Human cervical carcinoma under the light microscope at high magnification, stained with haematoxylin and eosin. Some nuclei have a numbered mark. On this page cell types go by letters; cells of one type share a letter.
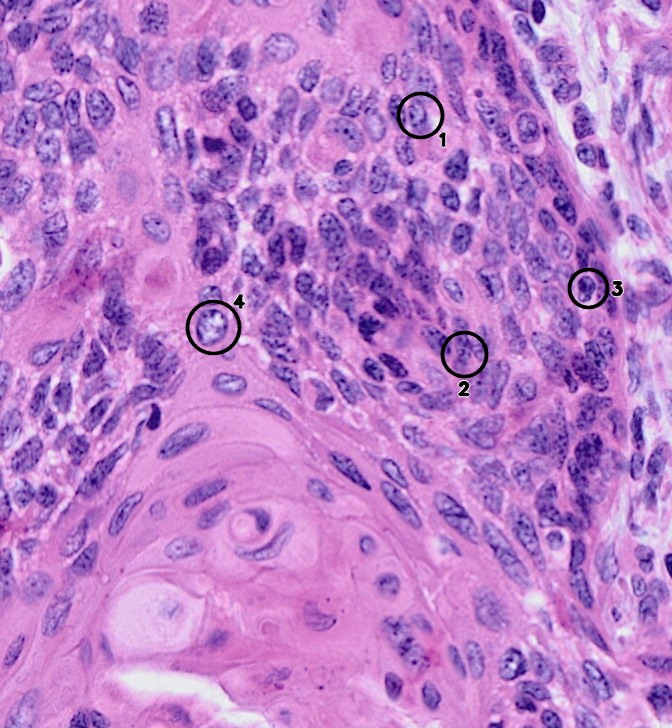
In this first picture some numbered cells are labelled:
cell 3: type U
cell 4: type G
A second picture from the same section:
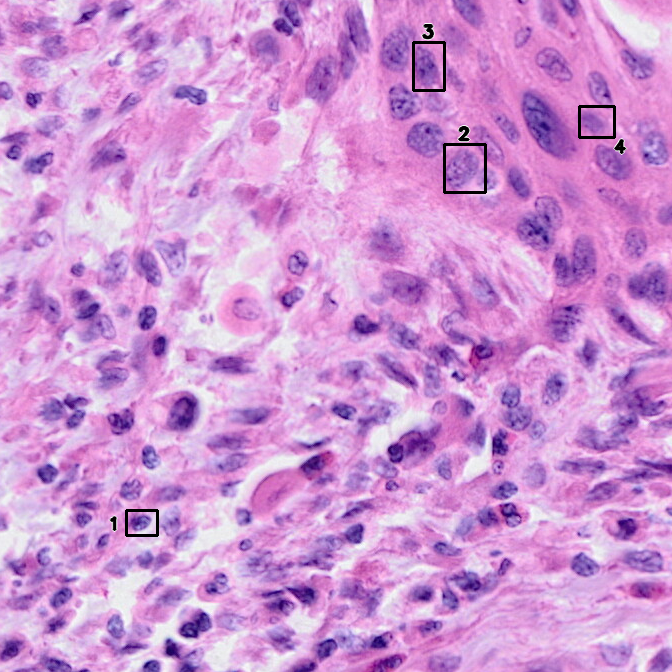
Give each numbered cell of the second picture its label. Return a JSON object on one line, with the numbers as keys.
{"1": "type U", "2": "type G", "3": "type G", "4": "type G"}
